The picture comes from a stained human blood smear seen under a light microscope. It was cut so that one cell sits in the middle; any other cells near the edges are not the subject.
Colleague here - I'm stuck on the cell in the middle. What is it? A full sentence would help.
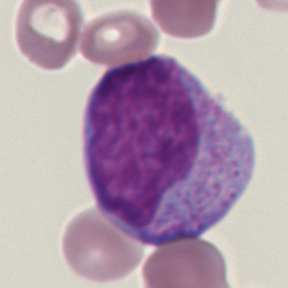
At the middle of the frame sits an atypical promyelocyte.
